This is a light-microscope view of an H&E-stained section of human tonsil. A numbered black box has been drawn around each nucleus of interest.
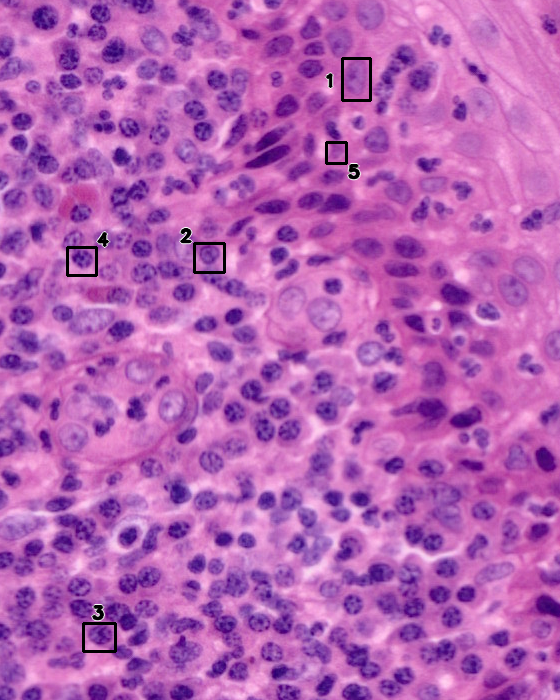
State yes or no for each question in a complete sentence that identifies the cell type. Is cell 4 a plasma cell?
Yes, that one, number 4, is a plasma cell.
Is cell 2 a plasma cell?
Yes, the cell that the number 2 labels is a plasma cell.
